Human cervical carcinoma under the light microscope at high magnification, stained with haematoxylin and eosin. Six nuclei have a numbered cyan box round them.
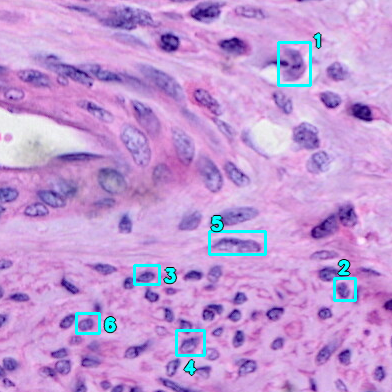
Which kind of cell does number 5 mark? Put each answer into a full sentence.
Number 5 is placed on a fibroblast here.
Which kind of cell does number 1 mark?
The marked nucleus 1 is that of a macrophage or monocyte.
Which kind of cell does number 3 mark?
The marked cell with the number 3 is recognised as a smooth muscle cell.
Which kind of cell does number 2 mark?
The cell given label 2 is a smooth muscle cell.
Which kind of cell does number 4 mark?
As for number 4, that cell is a smooth muscle cell.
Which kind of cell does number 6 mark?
Cell 6 should be recorded as a smooth muscle cell.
